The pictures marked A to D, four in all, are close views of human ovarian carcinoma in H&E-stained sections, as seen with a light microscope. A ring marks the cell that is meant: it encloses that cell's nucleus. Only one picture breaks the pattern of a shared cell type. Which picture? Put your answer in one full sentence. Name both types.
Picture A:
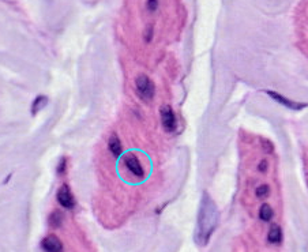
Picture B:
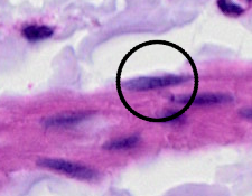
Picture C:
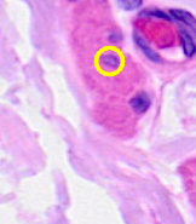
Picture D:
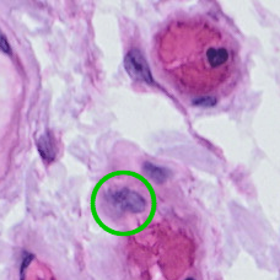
The others show smooth muscle cells, but picture D shows an endothelial cell.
